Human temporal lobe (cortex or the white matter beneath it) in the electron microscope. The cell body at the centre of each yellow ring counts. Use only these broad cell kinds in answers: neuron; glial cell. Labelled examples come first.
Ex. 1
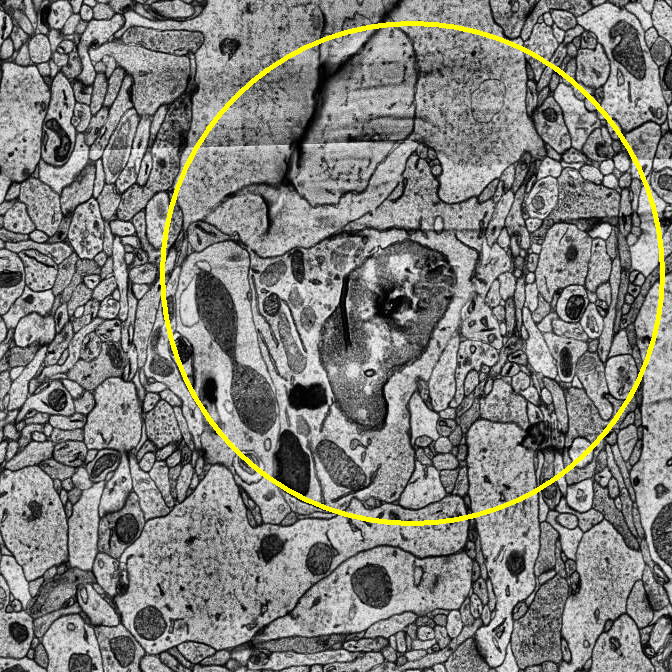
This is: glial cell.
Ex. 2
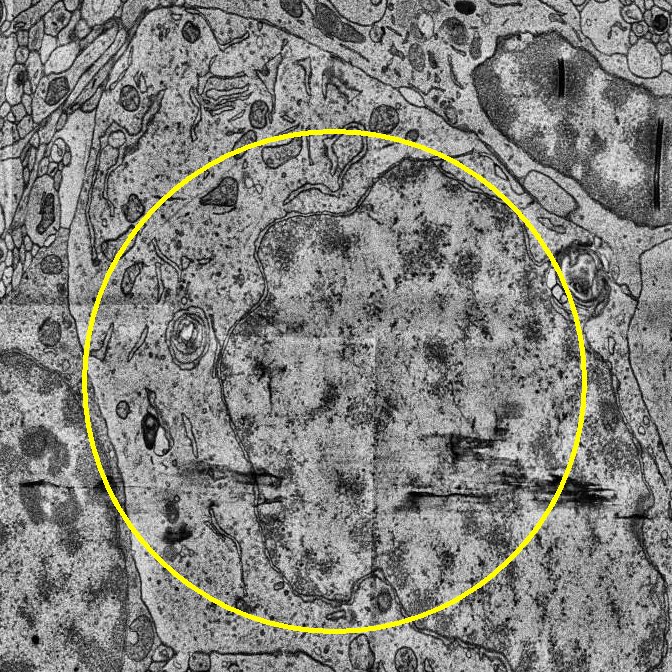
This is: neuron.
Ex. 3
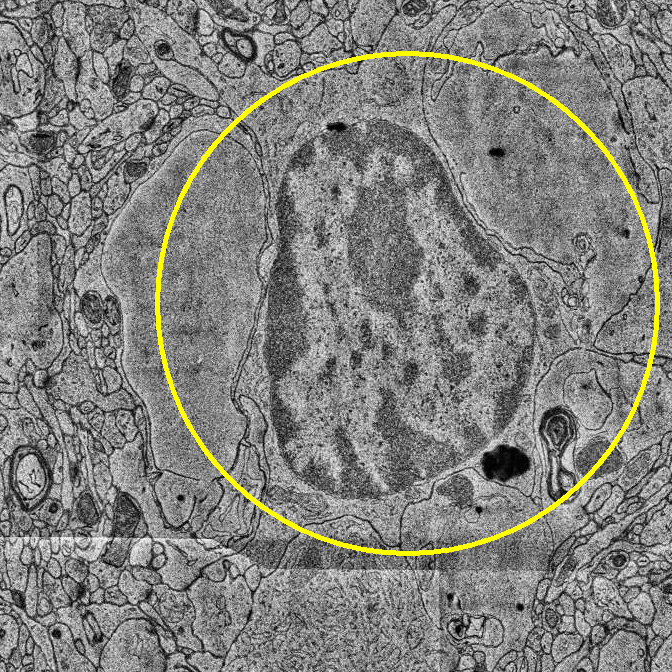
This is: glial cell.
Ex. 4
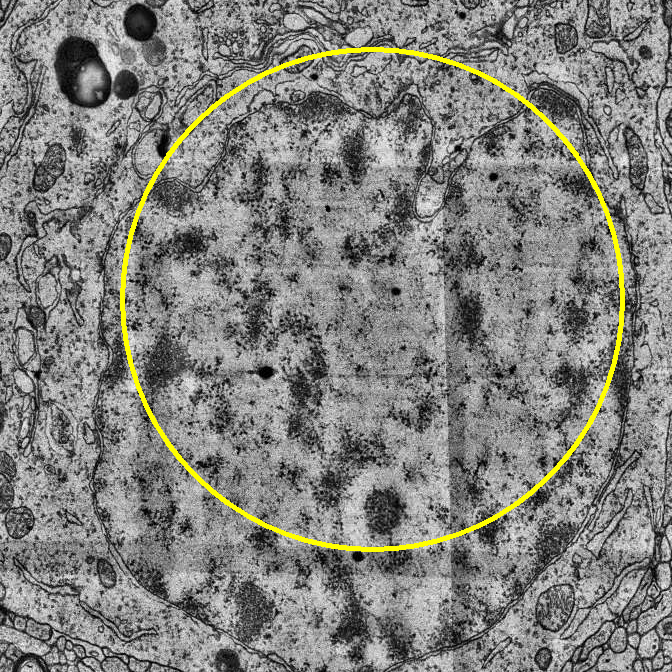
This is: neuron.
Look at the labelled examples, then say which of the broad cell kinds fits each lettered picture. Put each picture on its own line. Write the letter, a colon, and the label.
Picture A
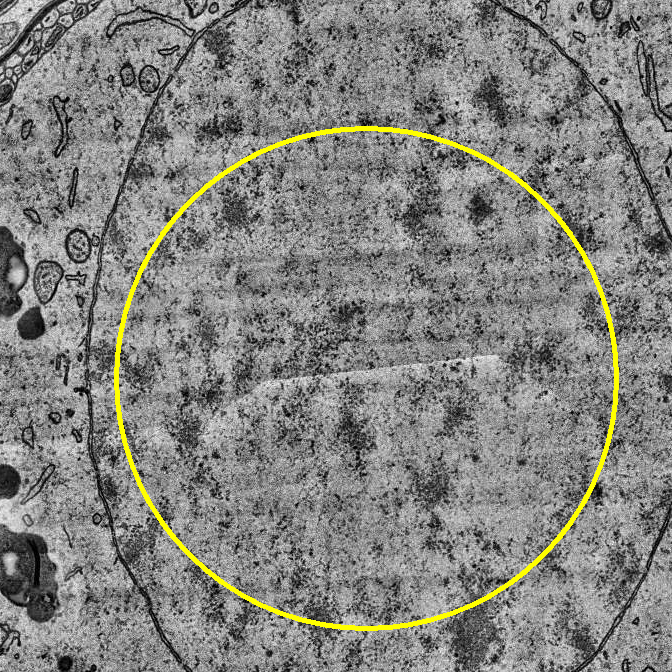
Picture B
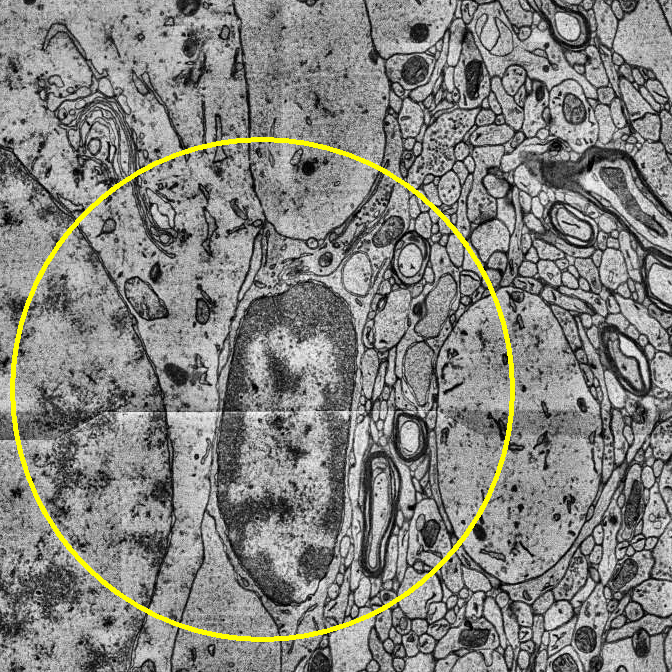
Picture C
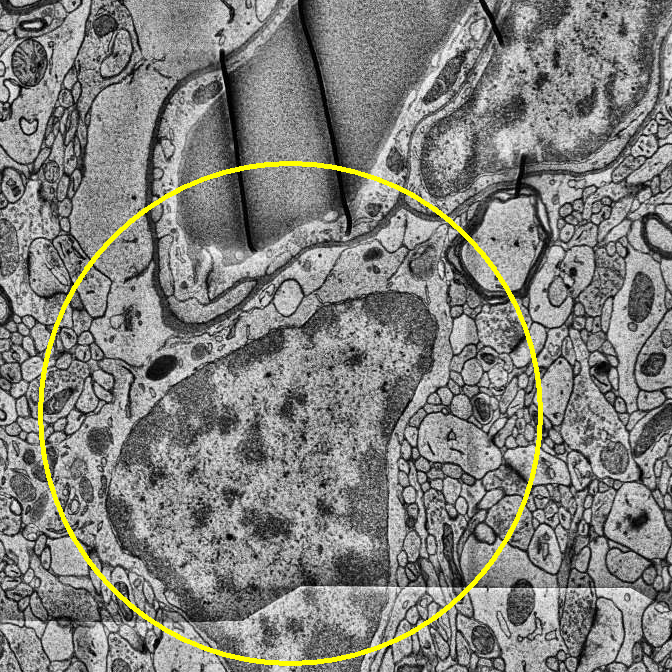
A: neuron.
B: glial cell.
C: glial cell.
